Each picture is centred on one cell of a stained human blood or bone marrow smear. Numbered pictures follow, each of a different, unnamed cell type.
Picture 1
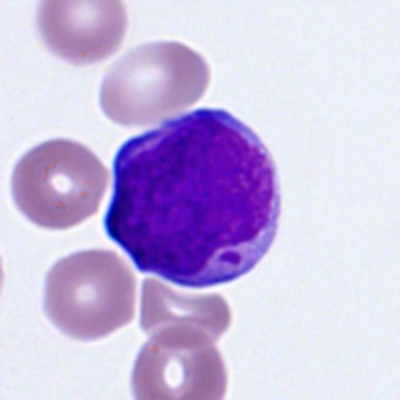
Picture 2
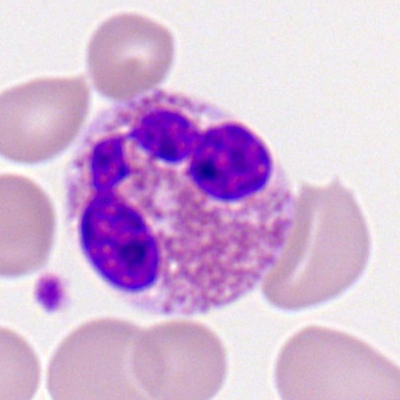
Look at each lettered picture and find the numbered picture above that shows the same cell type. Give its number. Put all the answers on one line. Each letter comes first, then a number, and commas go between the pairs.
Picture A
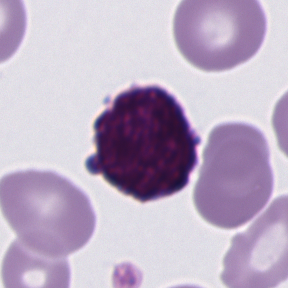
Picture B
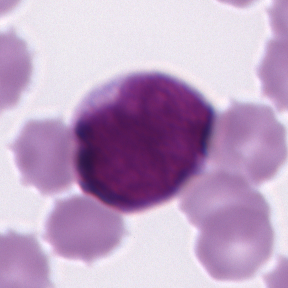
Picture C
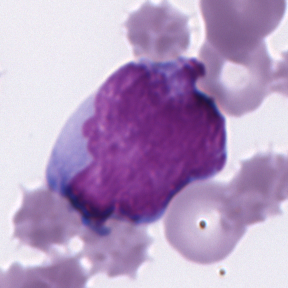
A 1, B 1, C 1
